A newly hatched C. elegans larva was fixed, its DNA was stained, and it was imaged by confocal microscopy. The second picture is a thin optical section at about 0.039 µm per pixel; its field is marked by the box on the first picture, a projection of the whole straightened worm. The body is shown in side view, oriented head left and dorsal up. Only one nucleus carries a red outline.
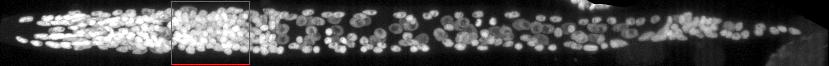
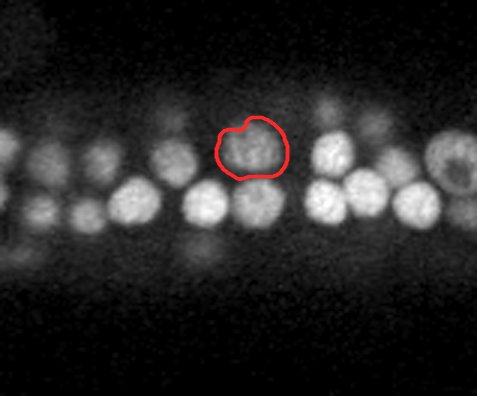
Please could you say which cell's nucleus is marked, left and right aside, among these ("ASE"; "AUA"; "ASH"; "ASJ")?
ASE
